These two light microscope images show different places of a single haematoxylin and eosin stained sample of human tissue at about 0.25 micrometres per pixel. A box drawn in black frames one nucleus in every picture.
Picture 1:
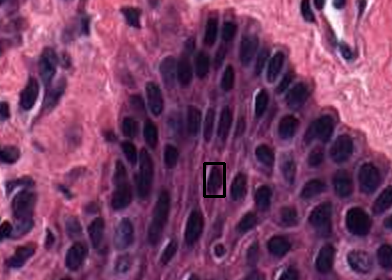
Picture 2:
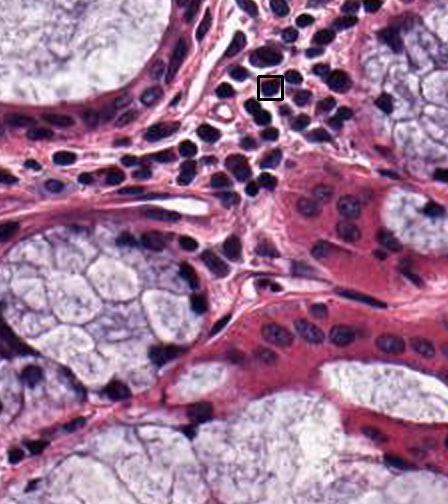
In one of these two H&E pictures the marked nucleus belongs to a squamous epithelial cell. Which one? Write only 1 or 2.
1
